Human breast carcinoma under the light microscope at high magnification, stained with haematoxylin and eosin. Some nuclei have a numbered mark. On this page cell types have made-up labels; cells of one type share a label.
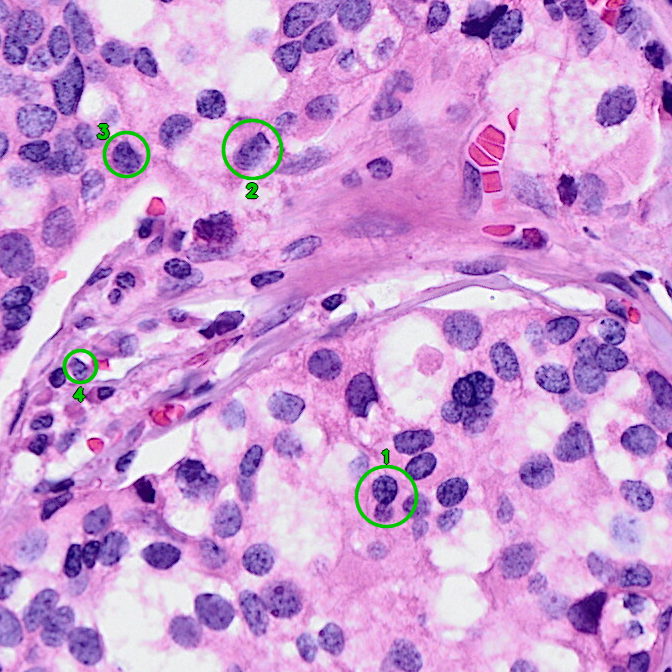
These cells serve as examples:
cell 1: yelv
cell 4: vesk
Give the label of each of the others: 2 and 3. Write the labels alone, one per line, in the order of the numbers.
yelv
yelv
